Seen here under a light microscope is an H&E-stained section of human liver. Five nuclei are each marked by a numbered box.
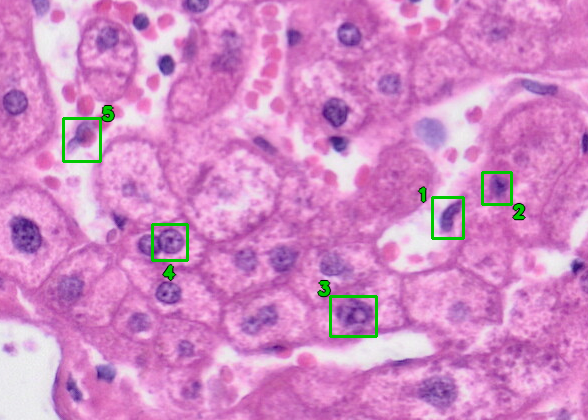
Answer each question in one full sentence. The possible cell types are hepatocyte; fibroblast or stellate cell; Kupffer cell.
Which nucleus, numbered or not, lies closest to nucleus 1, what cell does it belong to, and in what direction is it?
The nearest nucleus is that of a fibroblast or stellate cell and lies above and to the right of nucleus 1.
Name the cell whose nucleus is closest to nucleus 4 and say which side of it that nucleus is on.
A hepatocyte lies closest, to the left of nucleus 4.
